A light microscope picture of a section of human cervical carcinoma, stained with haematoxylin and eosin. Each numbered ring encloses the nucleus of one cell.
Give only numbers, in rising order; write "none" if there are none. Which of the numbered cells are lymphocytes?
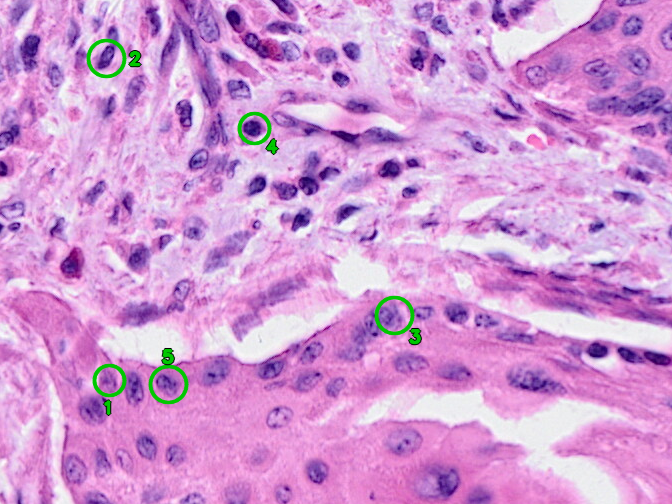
2, 4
